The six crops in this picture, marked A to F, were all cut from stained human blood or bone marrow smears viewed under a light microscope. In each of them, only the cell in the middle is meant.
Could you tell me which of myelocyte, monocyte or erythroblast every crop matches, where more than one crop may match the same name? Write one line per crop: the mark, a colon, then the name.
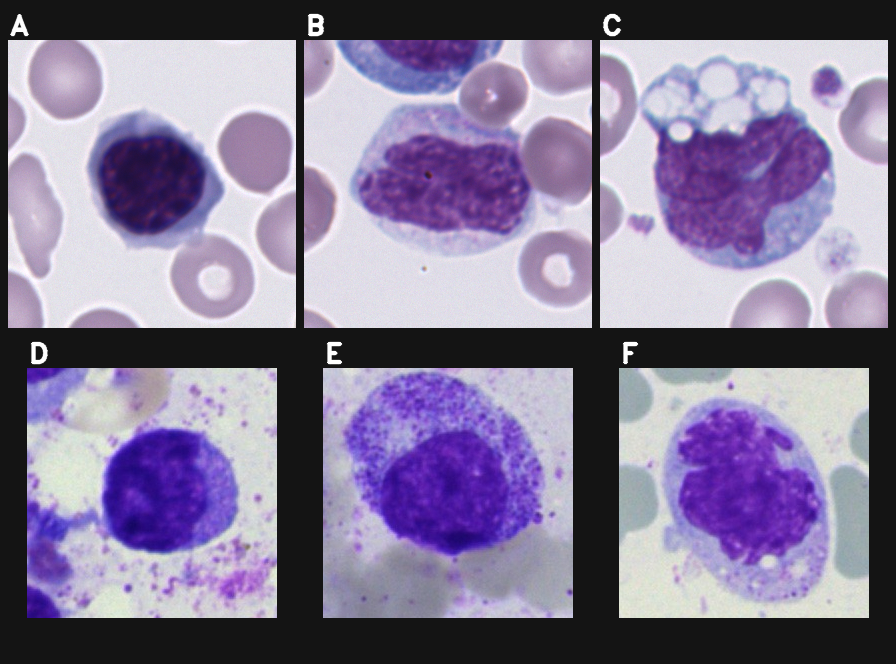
A: erythroblast
B: myelocyte
C: monocyte
D: monocyte
E: myelocyte
F: monocyte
